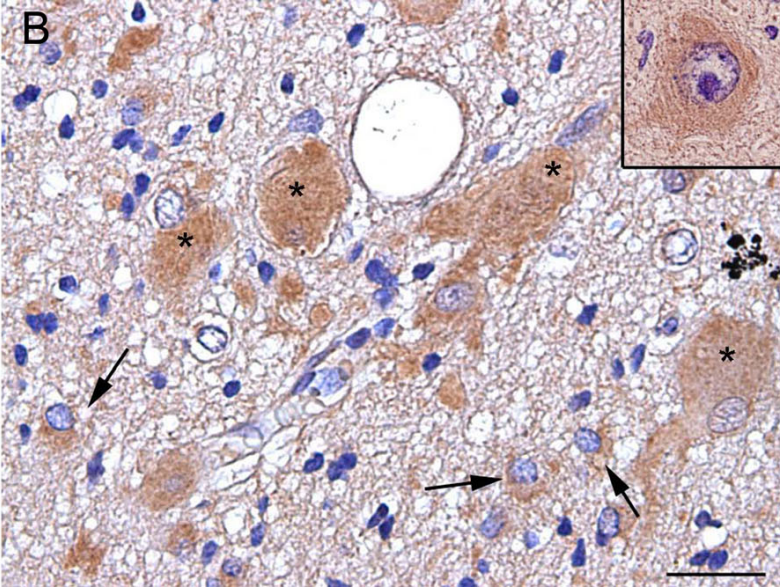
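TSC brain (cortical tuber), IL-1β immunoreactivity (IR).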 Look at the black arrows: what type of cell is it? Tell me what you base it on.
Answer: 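The marked cells are small, with a round pale nucleus and a thin rim of brown cytoplasm. They are much smaller than the large brown cells in the same field. That points to this answer: reactive astrocytes.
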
